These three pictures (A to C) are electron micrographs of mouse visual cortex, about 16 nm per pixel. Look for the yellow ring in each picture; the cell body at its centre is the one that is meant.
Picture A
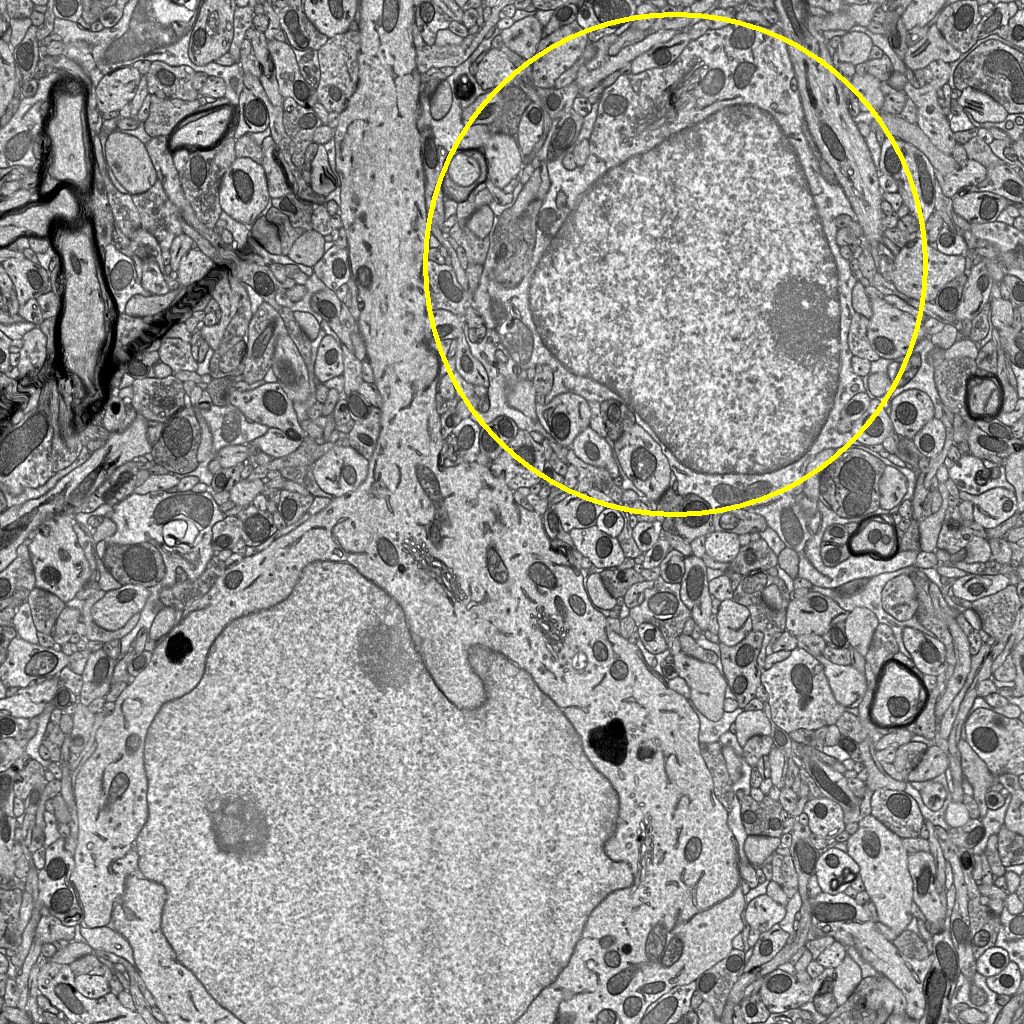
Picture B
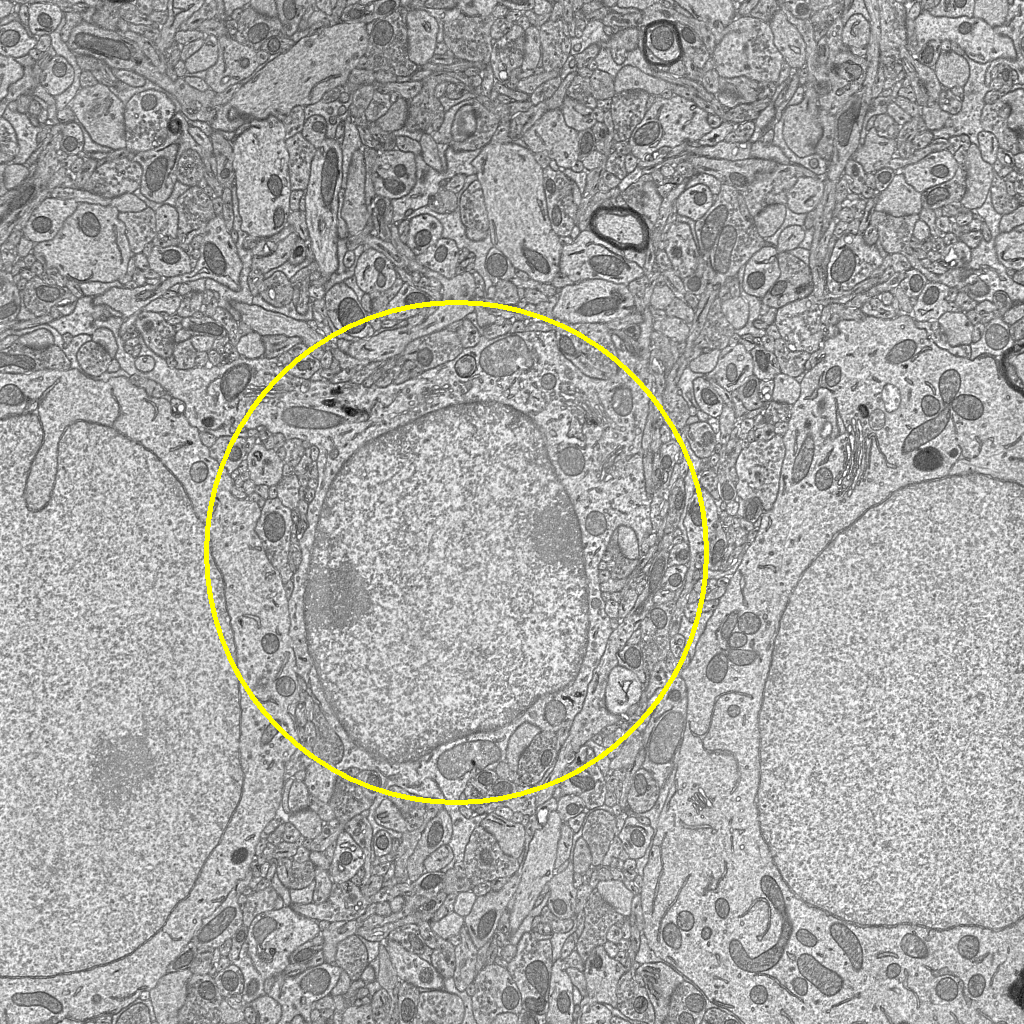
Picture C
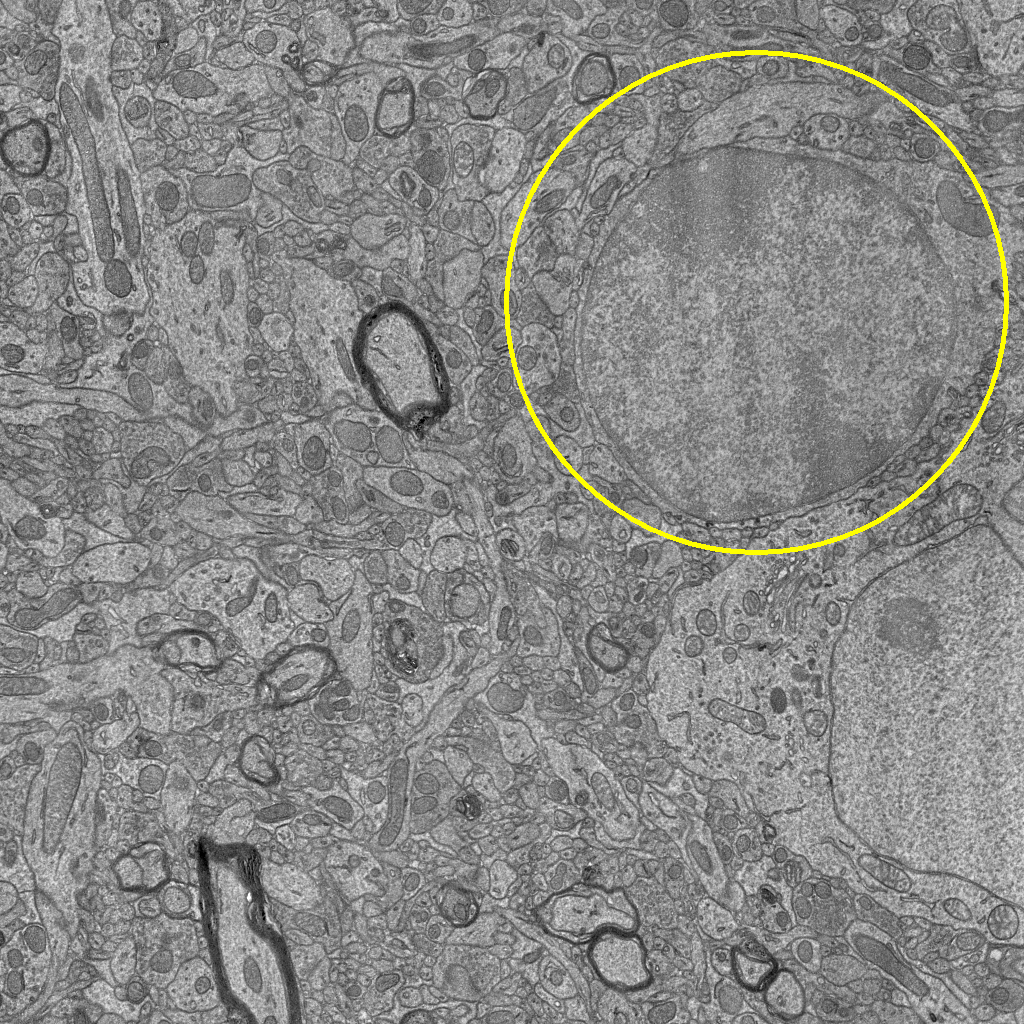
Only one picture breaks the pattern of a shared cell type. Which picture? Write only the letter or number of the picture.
C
